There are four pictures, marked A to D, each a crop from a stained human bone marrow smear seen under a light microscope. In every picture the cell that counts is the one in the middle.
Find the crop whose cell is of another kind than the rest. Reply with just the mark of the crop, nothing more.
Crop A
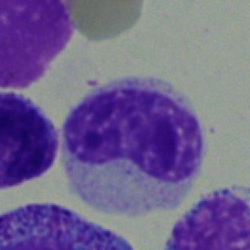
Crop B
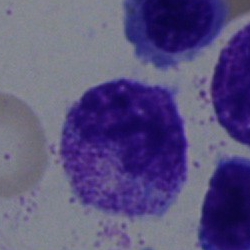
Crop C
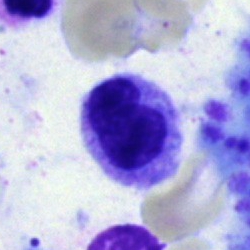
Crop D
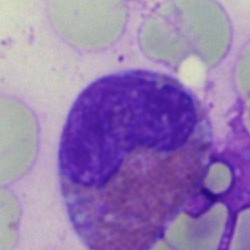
D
